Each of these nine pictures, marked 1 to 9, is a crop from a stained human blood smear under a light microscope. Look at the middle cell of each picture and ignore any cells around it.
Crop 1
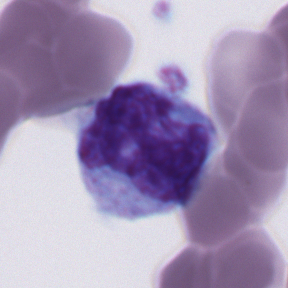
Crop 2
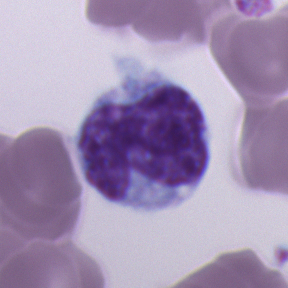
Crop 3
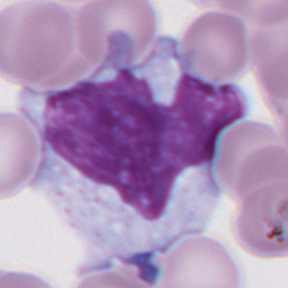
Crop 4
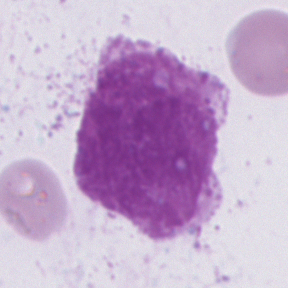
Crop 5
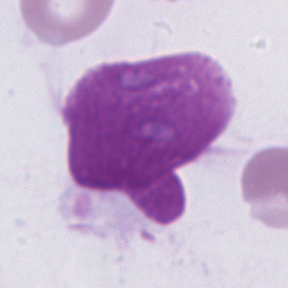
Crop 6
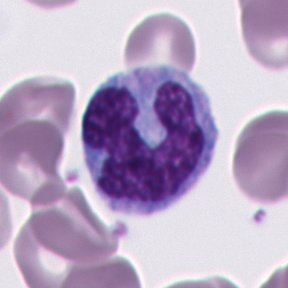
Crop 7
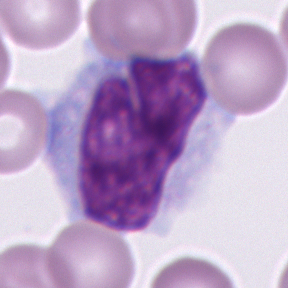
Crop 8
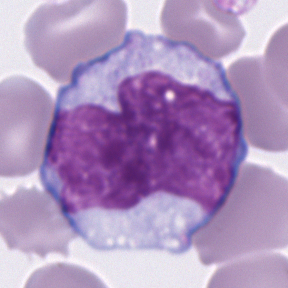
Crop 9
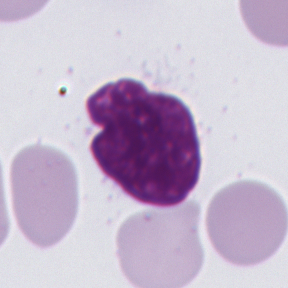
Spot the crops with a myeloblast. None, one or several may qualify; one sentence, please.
The middle cell is not a myeloblast in any of the crops.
